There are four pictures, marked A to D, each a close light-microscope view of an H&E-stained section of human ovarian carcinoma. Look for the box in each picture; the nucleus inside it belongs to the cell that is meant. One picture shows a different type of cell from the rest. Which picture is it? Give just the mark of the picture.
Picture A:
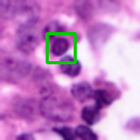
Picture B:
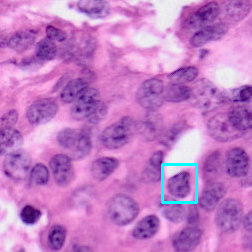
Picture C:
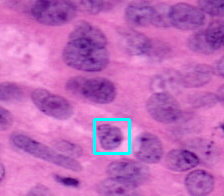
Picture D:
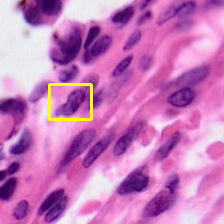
A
